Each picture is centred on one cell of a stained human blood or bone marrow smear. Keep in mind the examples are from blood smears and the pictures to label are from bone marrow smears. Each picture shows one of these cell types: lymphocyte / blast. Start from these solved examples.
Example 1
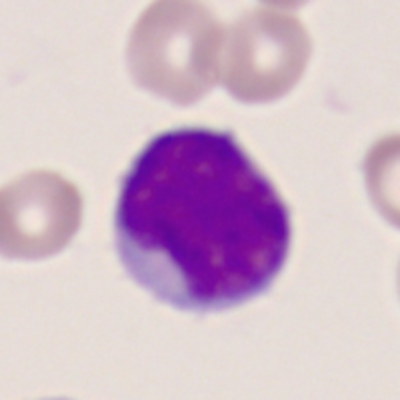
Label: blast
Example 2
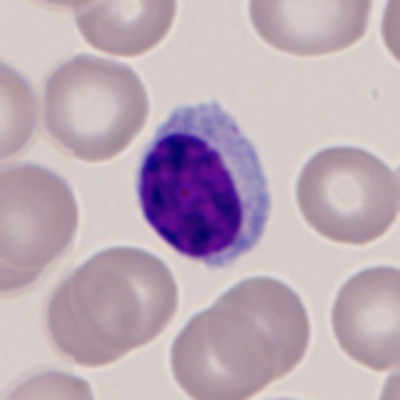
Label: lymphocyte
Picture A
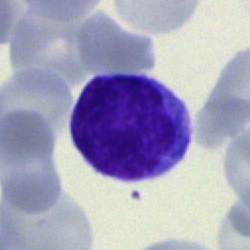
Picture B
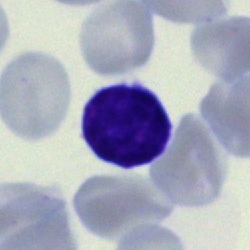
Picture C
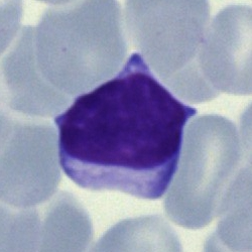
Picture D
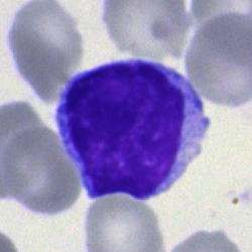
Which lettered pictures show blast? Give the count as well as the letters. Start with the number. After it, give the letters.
0, none of them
